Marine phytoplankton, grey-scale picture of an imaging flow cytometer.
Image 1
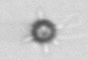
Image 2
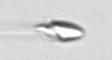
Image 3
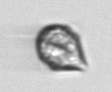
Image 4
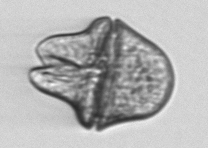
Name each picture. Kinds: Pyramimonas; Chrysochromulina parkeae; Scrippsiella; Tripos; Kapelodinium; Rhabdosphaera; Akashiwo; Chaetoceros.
Picture 1: Rhabdosphaera
Picture 2: Kapelodinium
Picture 3: Scrippsiella
Picture 4: Akashiwo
